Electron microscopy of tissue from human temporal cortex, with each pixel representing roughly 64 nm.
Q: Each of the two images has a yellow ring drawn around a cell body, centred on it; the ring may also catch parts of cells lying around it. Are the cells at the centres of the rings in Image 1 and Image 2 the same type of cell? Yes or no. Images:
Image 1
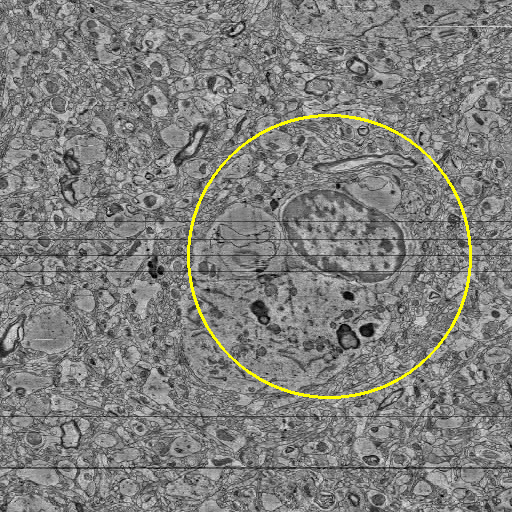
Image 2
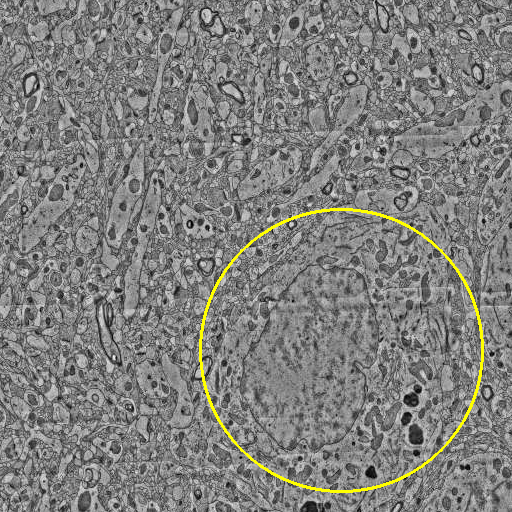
no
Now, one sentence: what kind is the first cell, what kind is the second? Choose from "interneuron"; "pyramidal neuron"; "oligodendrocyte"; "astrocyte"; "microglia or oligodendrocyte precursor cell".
The first picture has a microglial cell or oligodendrocyte precursor cell at its ring centre, and the second has an interneuron.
